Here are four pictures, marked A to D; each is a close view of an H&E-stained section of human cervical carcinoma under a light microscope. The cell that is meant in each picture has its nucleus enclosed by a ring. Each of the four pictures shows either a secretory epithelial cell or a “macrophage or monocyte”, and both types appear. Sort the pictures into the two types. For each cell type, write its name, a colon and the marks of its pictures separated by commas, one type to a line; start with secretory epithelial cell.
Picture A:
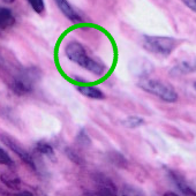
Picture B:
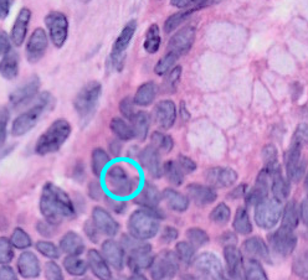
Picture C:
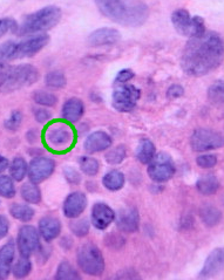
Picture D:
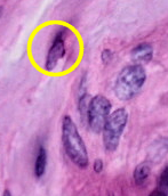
secretory epithelial cell: B, C
macrophage or monocyte: A, D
